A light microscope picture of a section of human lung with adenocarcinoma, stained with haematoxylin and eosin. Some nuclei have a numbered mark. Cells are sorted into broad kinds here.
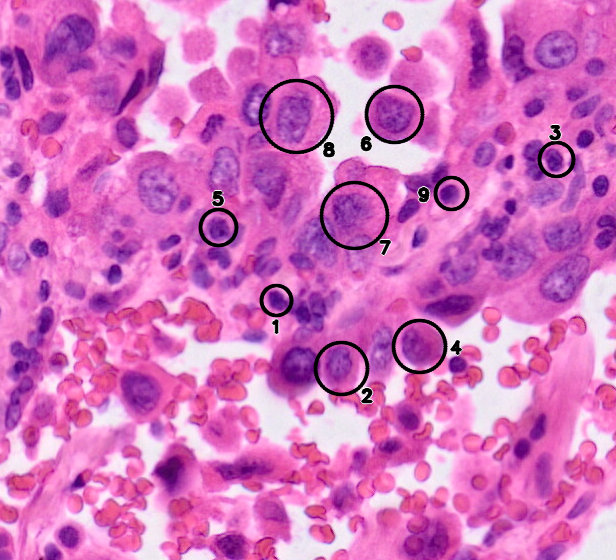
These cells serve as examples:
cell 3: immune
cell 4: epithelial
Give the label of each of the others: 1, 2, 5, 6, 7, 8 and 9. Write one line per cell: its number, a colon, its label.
1: immune
2: epithelial
5: immune
6: epithelial
7: epithelial
8: epithelial
9: immune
